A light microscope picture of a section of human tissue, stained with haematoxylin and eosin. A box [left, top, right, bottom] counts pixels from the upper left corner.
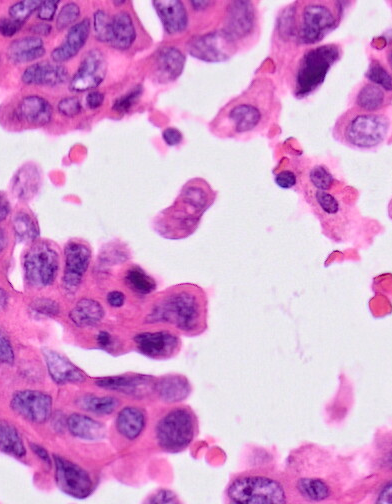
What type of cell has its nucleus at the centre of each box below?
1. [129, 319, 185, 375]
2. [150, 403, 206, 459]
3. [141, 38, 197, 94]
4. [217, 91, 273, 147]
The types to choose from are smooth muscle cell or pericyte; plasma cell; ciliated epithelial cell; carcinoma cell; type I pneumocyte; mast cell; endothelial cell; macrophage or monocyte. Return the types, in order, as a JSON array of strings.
["carcinoma cell", "carcinoma cell", "carcinoma cell", "macrophage or monocyte"]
